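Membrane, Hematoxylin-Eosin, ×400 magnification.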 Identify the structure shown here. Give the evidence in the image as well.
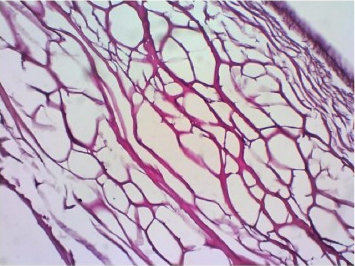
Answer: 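Collagen fibers. Thin pink-staining fibrous strands form a branching network. The strands enclose large clear spaces.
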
